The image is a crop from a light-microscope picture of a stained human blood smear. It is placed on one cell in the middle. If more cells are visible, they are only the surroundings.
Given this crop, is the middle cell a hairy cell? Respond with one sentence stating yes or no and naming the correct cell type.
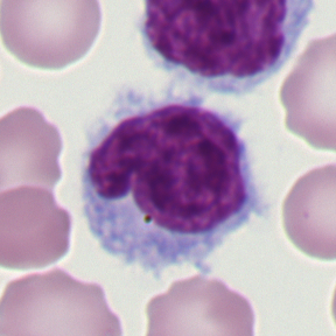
Yes, the cell in the centre is a hairy cell.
